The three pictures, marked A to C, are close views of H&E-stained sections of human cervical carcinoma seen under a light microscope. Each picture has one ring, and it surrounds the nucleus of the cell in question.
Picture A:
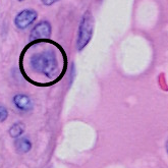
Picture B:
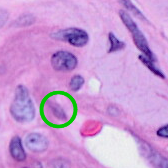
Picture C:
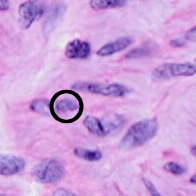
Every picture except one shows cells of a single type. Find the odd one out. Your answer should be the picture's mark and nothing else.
B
